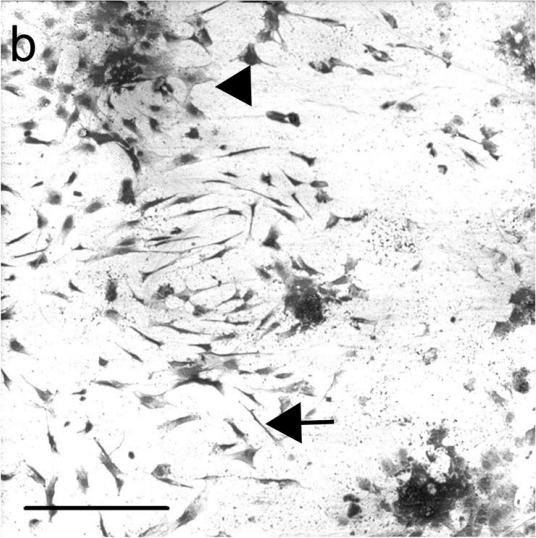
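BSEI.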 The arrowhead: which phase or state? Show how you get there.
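The arrowhead points at a broad, flattened cell with several angular edges. This cell is wider and less elongated than the spindle cells below it.
Answer: polygonal cell shape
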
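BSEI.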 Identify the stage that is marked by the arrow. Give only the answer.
Fibroblastic-like cell shape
